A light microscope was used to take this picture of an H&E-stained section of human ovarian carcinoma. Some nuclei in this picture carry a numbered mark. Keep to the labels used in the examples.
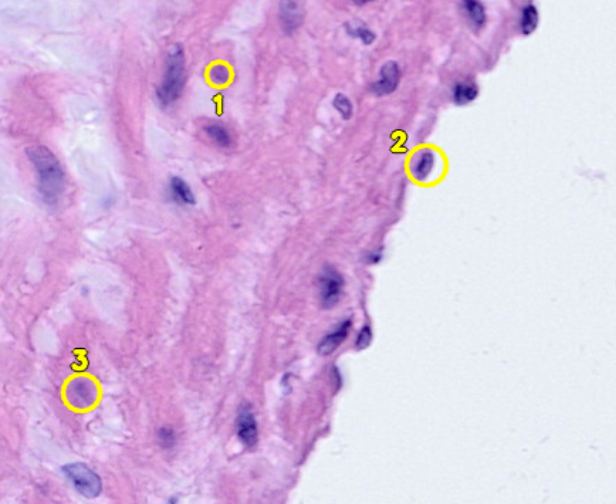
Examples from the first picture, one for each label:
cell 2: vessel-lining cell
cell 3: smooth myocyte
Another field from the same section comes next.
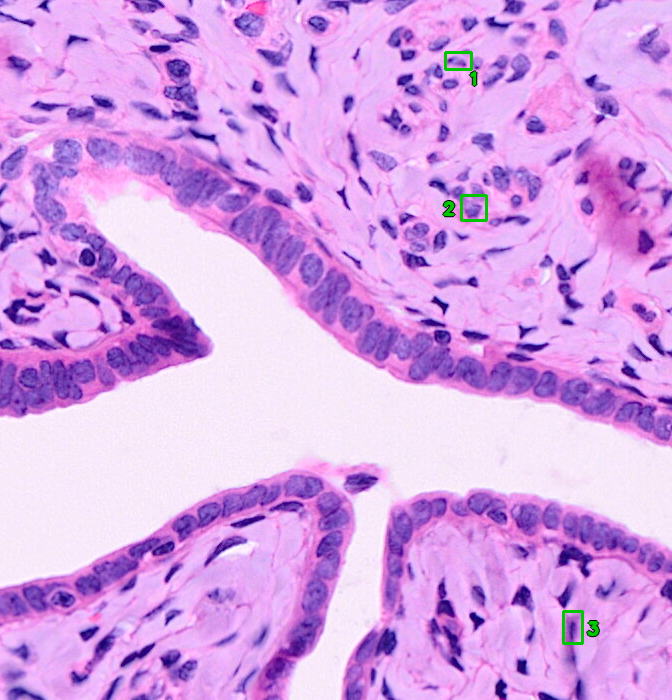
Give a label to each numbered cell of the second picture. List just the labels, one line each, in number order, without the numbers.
smooth myocyte
smooth myocyte
vessel-lining cell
